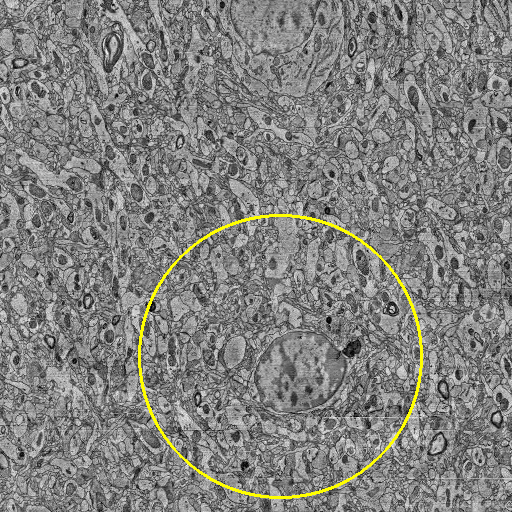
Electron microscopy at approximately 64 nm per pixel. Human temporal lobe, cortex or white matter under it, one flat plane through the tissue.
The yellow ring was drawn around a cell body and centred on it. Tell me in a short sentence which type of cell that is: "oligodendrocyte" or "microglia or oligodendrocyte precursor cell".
The cell at the ring's centre is a microglial cell or oligodendrocyte precursor cell.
